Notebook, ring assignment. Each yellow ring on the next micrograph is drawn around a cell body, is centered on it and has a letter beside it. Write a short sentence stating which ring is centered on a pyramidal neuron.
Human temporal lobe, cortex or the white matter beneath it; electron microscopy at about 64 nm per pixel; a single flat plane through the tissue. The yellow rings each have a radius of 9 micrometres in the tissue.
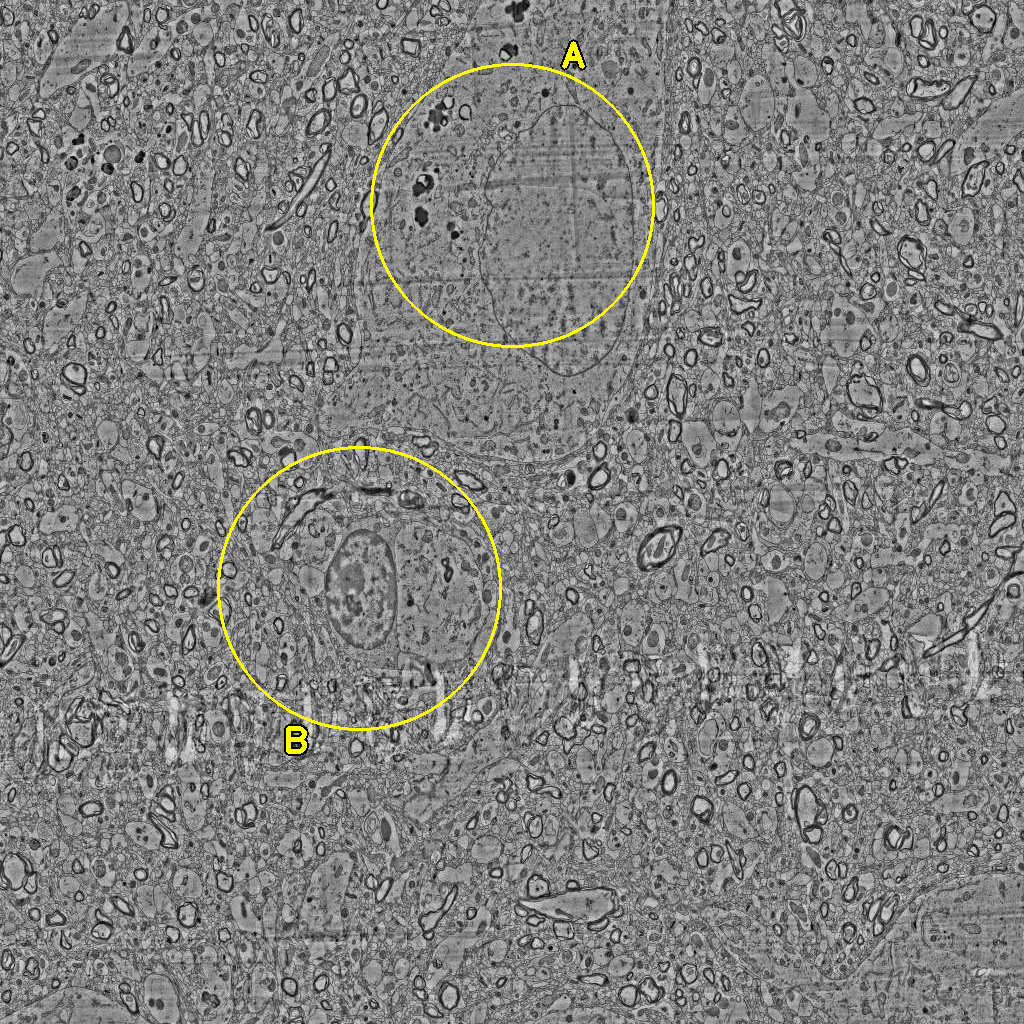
Ring A is centered on it.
